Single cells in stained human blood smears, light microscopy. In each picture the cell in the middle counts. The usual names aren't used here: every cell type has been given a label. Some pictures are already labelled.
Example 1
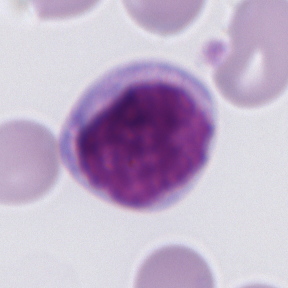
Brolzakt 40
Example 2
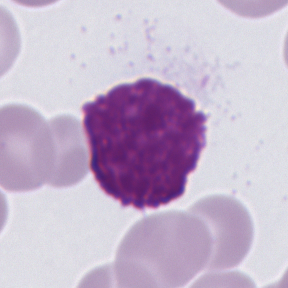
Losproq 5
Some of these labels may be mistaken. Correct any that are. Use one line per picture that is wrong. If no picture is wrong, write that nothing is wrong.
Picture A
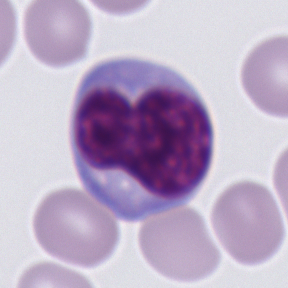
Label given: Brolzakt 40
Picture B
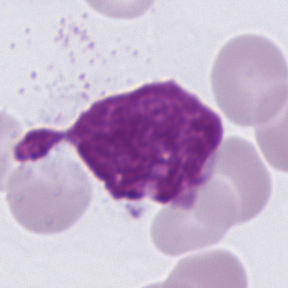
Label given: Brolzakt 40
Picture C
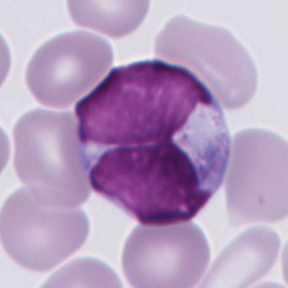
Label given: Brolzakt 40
B should be Losproq 5, not Brolzakt 40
